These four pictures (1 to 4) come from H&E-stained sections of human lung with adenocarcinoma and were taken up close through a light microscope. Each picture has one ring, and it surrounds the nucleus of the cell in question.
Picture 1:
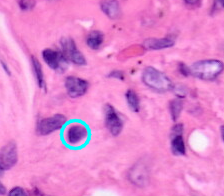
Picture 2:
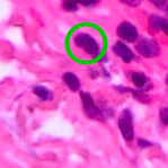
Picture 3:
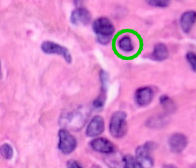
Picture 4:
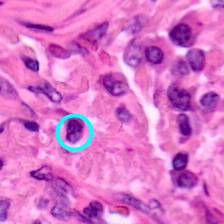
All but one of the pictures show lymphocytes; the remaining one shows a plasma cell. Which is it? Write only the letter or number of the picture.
4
